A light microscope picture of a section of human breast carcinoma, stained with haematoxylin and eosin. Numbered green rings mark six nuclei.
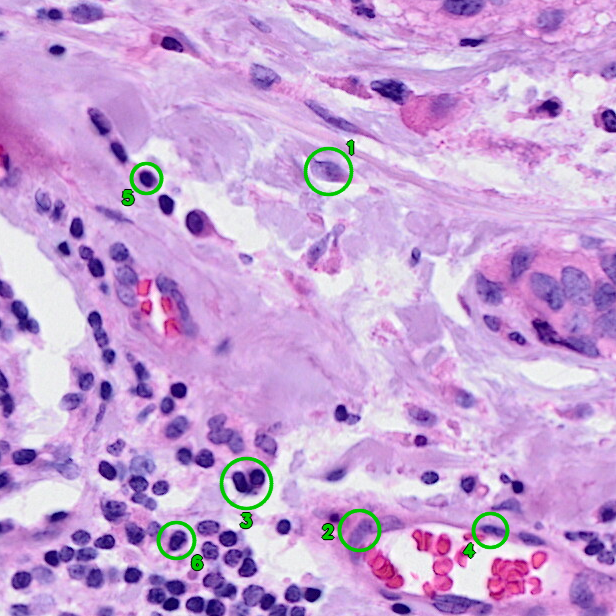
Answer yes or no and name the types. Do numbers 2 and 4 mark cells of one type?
Yes, both are endothelial cells.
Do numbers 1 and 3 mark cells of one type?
No, cell 1 is a fibroblast and cell 3 is a lymphocyte.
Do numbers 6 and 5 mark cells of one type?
Yes, both are lymphocytes.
